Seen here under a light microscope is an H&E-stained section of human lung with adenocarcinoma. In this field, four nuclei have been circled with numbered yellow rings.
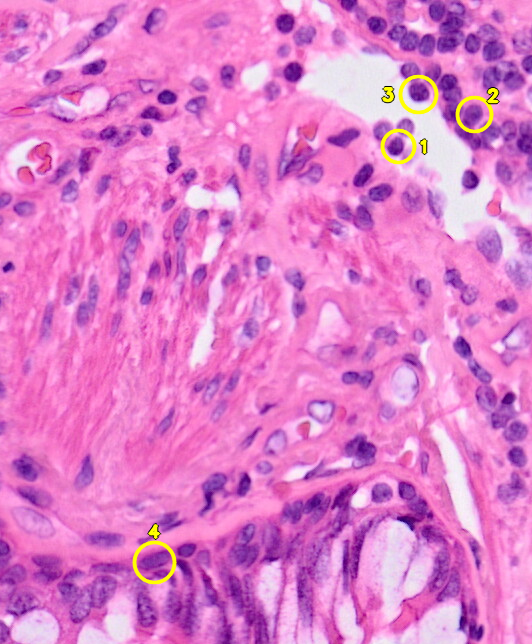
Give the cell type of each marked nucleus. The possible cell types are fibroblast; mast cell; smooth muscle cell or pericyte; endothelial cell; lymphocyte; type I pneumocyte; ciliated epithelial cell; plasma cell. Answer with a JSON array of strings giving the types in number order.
["lymphocyte", "lymphocyte", "lymphocyte", "ciliated epithelial cell"]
